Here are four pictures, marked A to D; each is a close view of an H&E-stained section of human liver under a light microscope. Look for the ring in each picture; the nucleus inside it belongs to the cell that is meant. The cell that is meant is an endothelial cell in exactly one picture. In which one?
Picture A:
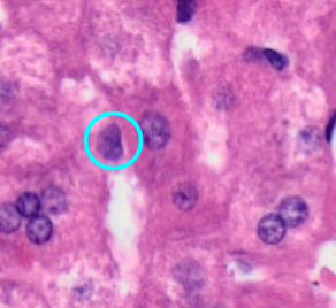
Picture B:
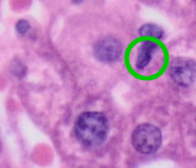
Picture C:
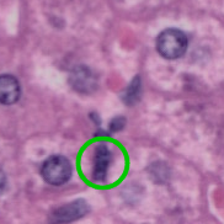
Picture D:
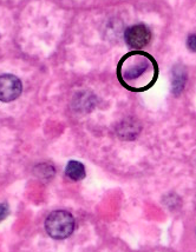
A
